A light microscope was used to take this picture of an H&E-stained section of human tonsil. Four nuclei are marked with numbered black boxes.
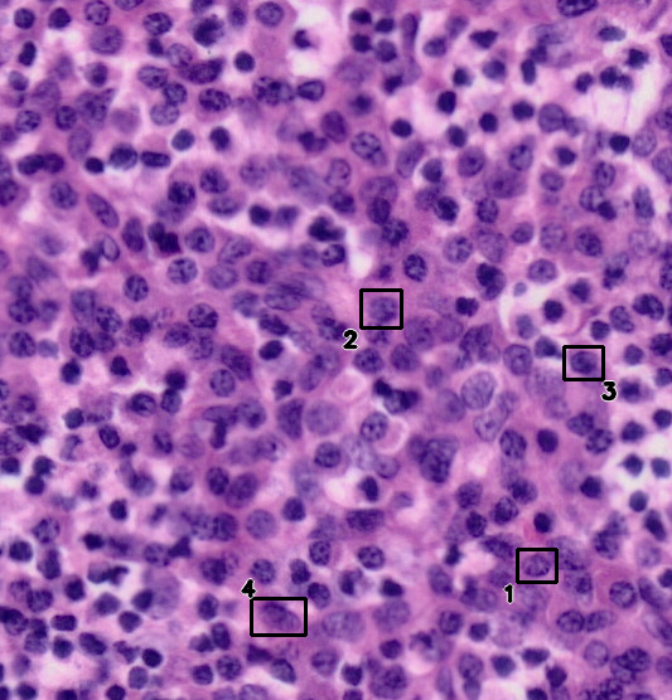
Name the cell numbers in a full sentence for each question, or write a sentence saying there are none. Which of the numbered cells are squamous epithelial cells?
Only the nucleus marked 4 is that of a squamous epithelial cell.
